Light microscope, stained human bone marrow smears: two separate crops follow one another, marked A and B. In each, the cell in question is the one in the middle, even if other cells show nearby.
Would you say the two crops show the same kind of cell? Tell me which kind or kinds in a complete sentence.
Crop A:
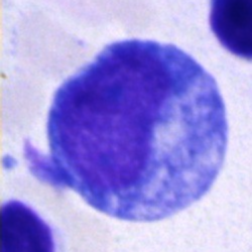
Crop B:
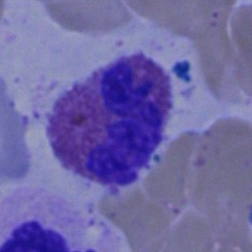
No, a promyelocyte is depicted by crop A, an eosinophil by crop B.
